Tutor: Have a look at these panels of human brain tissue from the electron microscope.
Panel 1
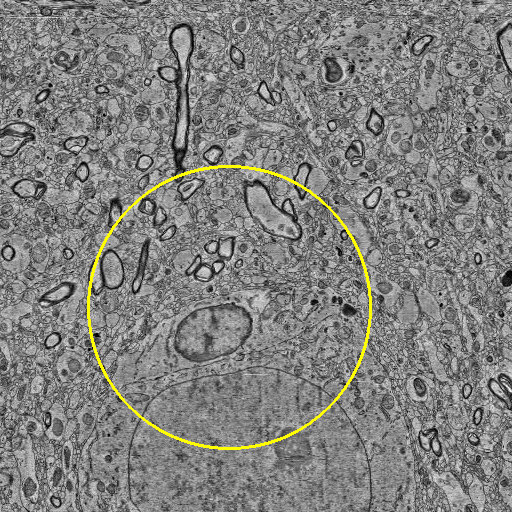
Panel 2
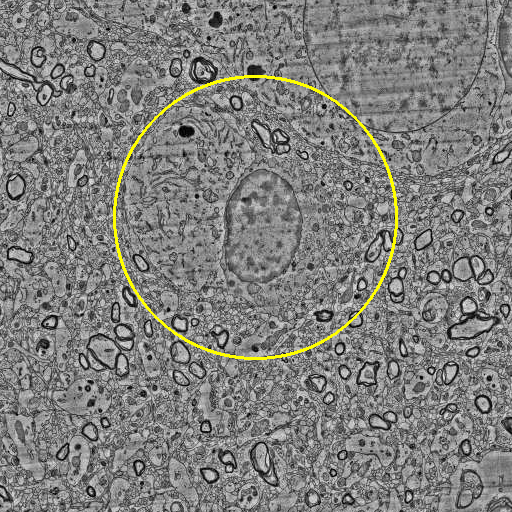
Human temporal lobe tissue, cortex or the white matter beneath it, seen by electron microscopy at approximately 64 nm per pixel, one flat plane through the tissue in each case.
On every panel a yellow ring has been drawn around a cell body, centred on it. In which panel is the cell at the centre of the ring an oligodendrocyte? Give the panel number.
2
